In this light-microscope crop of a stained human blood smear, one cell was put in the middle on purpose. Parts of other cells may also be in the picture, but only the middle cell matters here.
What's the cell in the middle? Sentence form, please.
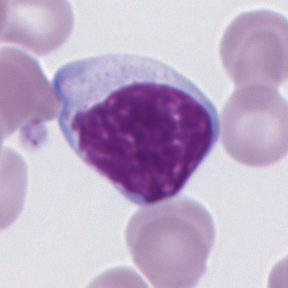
The crop centres on a single cell, and that cell is a large granular lymphocyte.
